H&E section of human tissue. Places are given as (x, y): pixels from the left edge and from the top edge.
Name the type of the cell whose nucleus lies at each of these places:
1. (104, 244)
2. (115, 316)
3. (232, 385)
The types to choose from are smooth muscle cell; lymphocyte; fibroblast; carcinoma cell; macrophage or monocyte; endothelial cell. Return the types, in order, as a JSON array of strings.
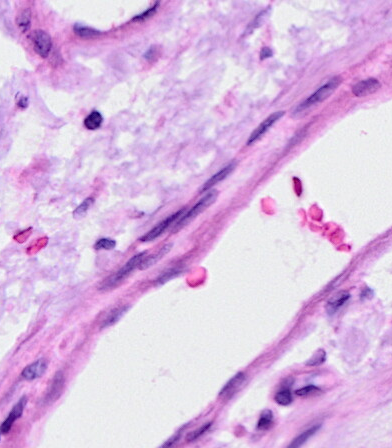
["lymphocyte", "endothelial cell", "endothelial cell"]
